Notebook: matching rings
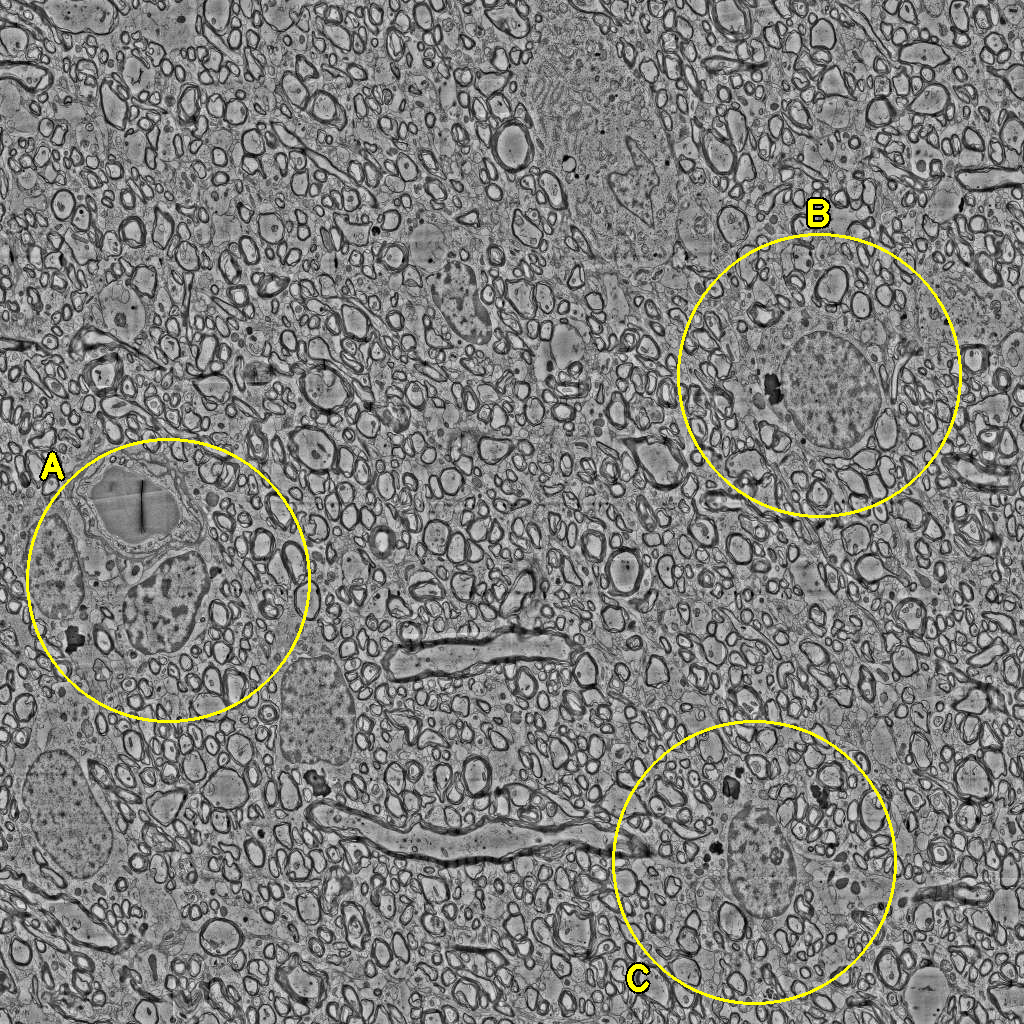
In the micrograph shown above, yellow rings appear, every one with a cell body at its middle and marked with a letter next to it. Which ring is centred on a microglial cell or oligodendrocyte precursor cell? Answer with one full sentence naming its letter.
A cell of that kind lies at the centre of the ring lettered A.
